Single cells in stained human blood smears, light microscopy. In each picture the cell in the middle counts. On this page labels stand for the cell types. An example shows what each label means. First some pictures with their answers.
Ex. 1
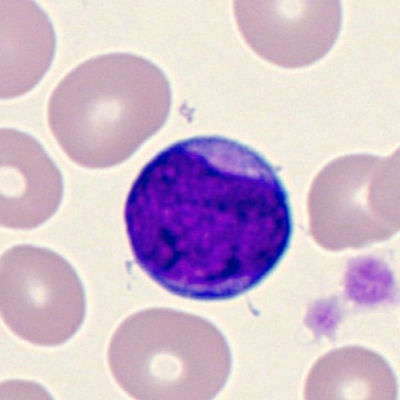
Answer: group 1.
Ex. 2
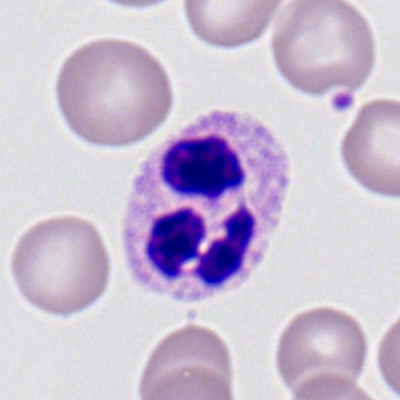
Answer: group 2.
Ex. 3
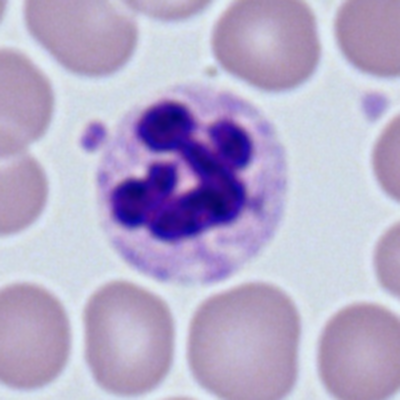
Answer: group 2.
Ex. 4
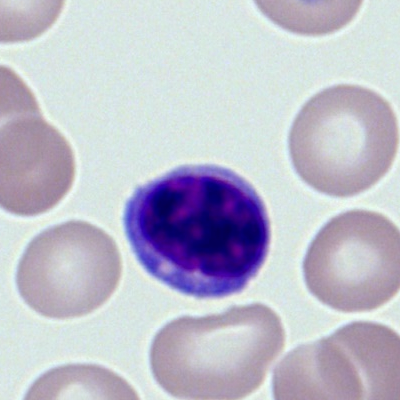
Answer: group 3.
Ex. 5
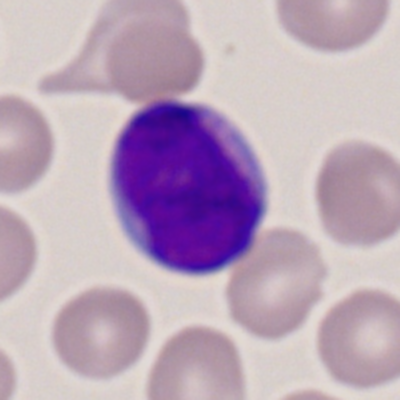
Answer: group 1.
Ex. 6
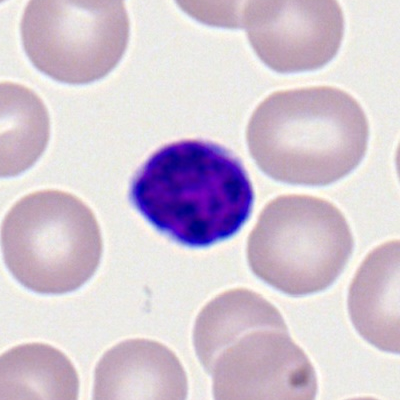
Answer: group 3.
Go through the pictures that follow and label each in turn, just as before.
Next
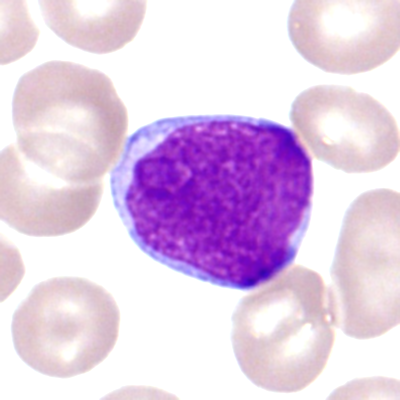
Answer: group 1.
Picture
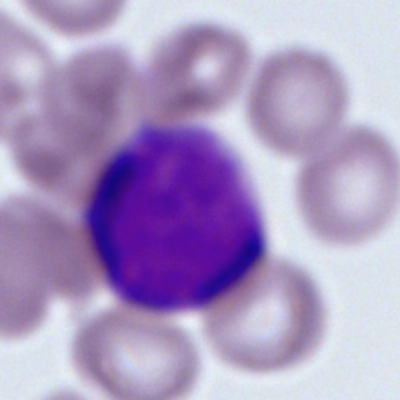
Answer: group 1.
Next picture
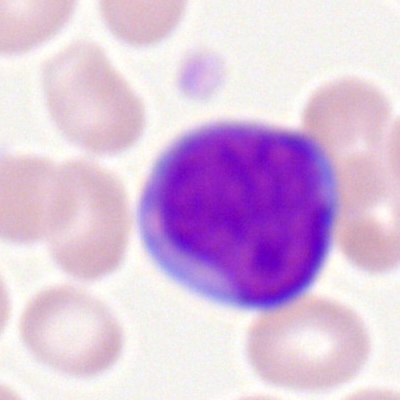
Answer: group 1.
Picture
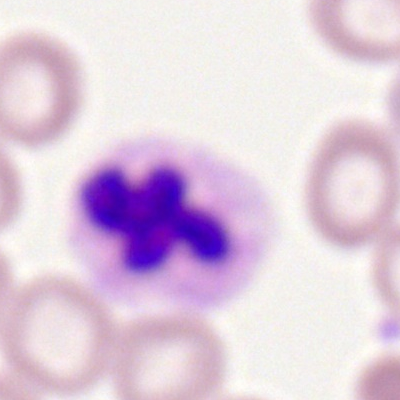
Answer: group 2.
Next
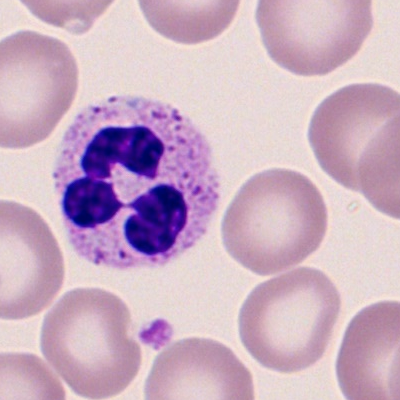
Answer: group 2.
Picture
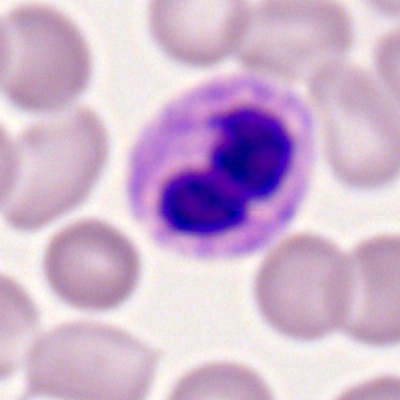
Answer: group 2.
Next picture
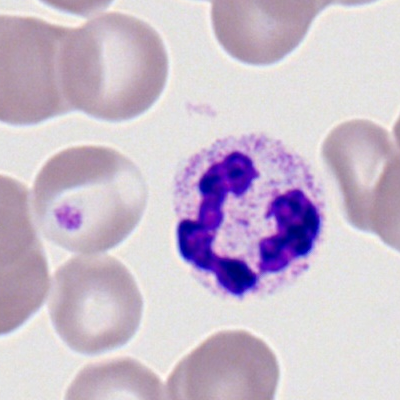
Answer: group 2.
